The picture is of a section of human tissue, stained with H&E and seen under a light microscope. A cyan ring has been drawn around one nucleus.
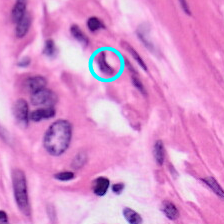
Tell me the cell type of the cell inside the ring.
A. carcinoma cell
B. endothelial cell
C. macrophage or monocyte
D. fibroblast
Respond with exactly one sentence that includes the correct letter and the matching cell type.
As the cell inside the ring is a fibroblast, the correct choice is option D.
